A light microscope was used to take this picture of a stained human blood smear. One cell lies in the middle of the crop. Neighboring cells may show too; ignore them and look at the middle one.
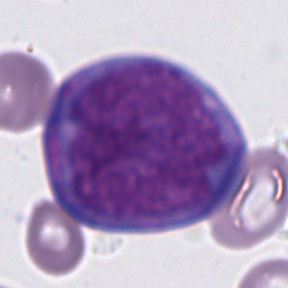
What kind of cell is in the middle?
promyelocyte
